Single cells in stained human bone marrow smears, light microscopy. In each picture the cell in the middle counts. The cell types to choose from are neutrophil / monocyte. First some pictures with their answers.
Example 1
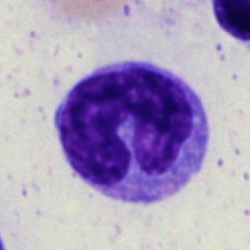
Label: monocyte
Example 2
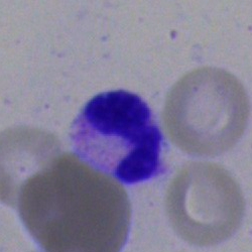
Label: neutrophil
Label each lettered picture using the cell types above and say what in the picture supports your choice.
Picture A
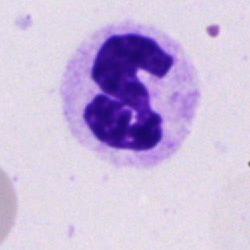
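neutrophil. Evidence: The cytoplasm is plentiful and pale pinkish-lilac.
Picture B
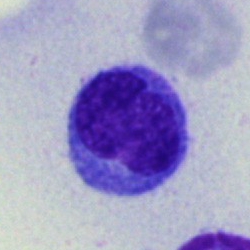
monocyte. Evidence: The nucleus fills most of the cell, leaving a rim of cytoplasm.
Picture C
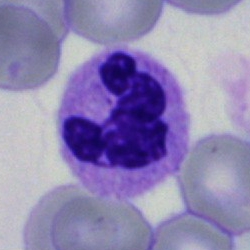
neutrophil. Evidence: The cytoplasm is plentiful and pale lilac.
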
